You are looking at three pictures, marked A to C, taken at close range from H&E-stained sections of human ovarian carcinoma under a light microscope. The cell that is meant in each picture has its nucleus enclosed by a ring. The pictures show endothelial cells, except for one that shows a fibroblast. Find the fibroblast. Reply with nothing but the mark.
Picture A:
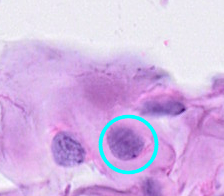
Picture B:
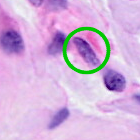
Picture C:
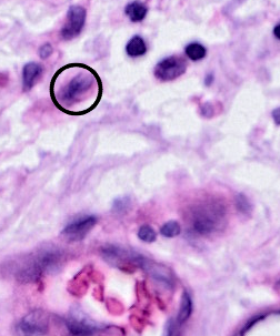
A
